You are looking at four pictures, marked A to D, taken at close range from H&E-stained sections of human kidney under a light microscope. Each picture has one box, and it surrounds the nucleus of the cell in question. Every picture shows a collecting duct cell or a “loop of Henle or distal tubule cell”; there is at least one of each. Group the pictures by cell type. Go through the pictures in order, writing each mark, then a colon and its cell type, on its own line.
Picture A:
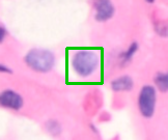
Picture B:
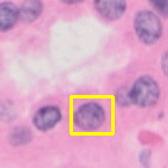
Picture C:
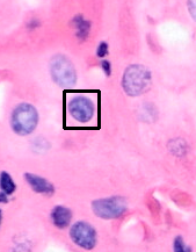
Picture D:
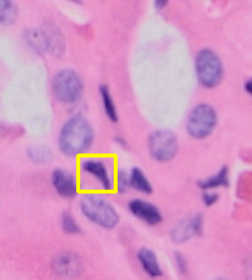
A: loop of Henle or distal tubule cell
B: loop of Henle or distal tubule cell
C: collecting duct cell
D: collecting duct cell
